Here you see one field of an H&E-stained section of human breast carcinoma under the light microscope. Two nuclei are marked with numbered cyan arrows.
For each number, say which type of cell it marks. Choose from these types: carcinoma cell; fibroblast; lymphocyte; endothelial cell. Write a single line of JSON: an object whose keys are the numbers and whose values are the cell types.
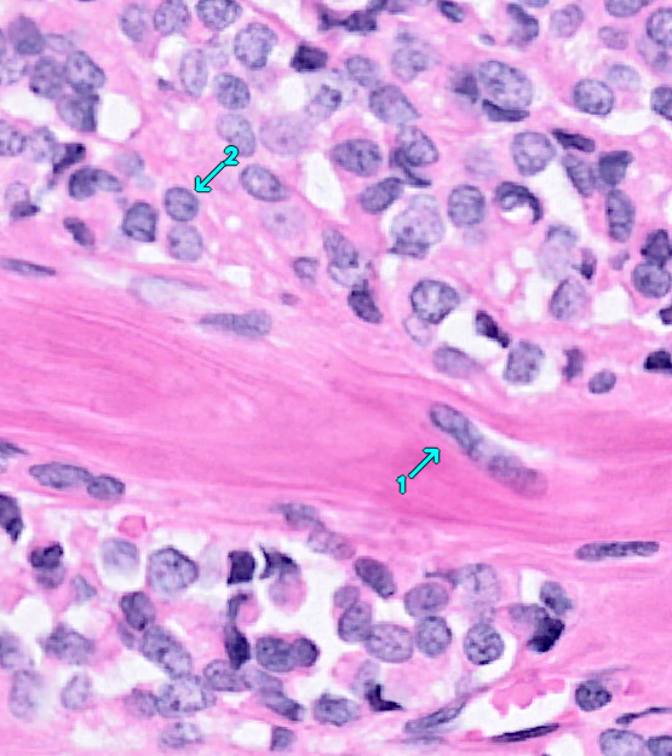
{"1": "fibroblast", "2": "carcinoma cell"}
